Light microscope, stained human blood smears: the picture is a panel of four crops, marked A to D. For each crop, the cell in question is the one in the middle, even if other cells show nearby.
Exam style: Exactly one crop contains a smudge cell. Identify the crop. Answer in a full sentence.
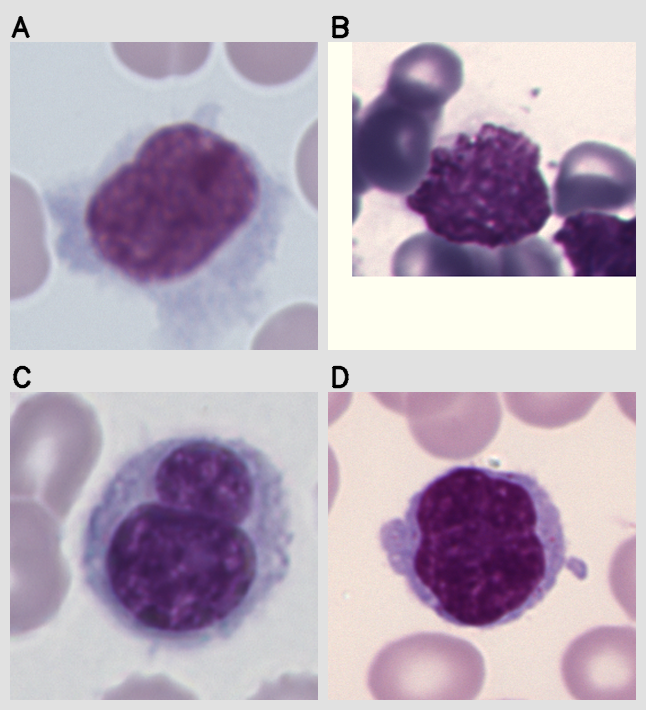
Crop B shows a smudge cell, and no other crop does.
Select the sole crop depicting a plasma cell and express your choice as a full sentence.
It is crop C, not any other, that shows a plasma cell.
